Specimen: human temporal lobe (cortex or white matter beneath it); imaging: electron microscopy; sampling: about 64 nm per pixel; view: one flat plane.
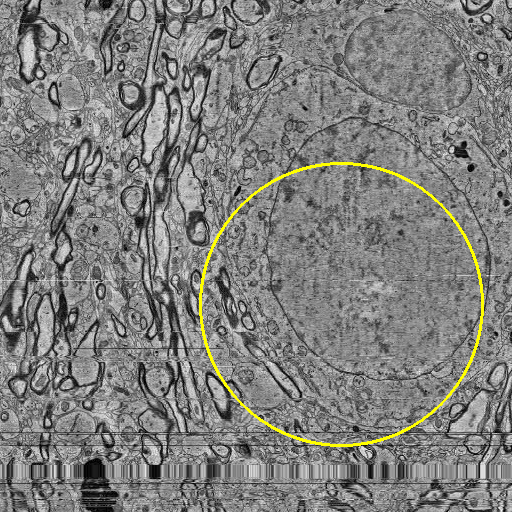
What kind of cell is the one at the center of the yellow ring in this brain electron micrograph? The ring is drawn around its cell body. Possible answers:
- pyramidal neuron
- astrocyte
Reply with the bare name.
pyramidal neuron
